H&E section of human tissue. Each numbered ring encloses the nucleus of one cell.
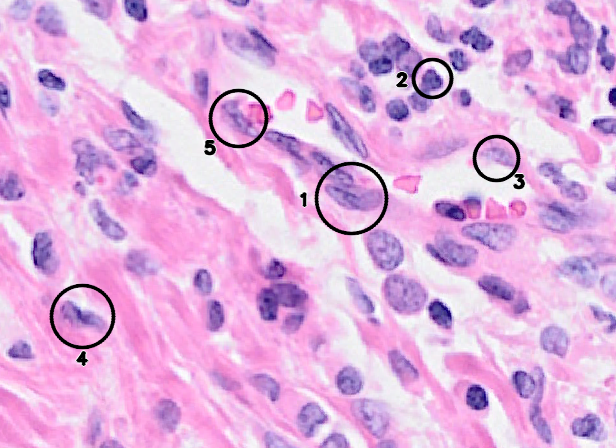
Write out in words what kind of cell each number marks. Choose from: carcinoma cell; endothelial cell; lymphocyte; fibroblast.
Cells 1, 3 and 5 are endothelial cells. Cell 2 is a lymphocyte. Cell 4 is a fibroblast.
